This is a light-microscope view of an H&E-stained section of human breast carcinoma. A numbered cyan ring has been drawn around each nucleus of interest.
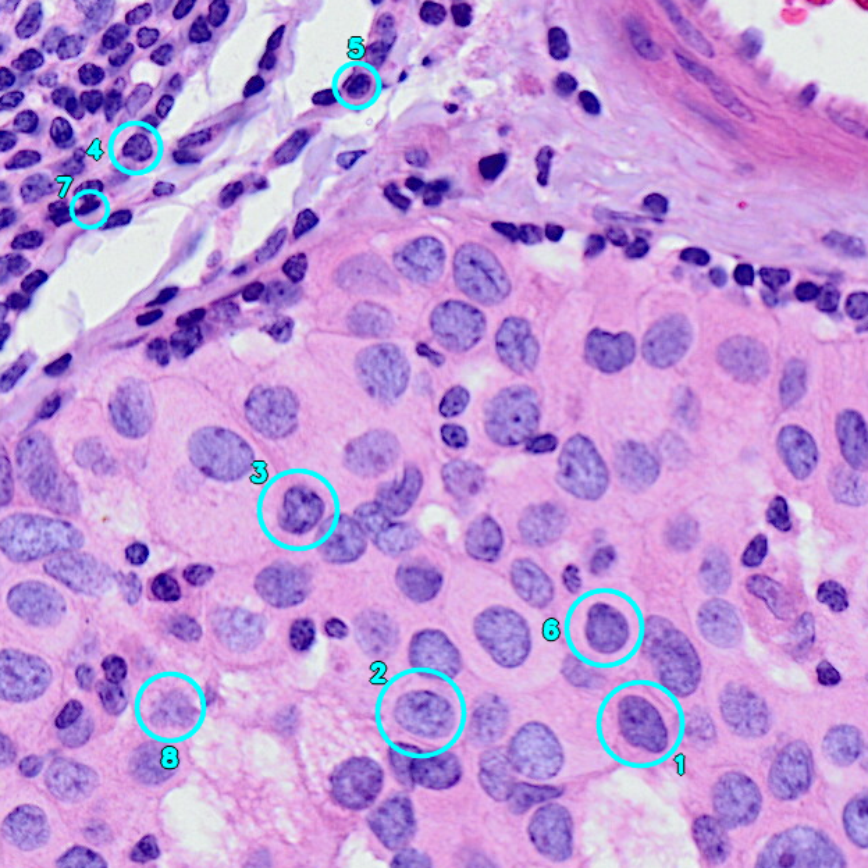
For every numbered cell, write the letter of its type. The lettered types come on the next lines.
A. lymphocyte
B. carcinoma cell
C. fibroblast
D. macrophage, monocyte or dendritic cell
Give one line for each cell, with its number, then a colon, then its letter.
1: B
2: B
3: B
4: A
5: A
6: B
7: A
8: B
